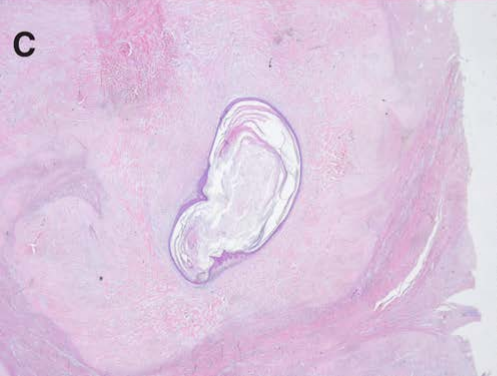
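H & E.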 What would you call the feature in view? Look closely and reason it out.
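The cavity is lined by a thin purple epithelial rim. The cavity holds layered pale flaky material.
Hence: epidermal inclusion cyst.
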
